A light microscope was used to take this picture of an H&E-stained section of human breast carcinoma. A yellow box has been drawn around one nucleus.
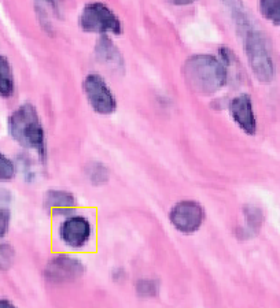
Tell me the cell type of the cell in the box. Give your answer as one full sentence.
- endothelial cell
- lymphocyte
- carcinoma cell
For the purposes of cell typing, the cell in the box is categorized as a lymphocyte.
